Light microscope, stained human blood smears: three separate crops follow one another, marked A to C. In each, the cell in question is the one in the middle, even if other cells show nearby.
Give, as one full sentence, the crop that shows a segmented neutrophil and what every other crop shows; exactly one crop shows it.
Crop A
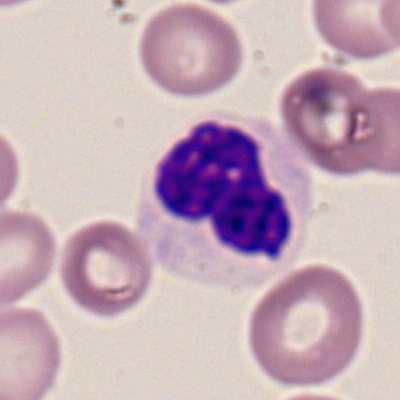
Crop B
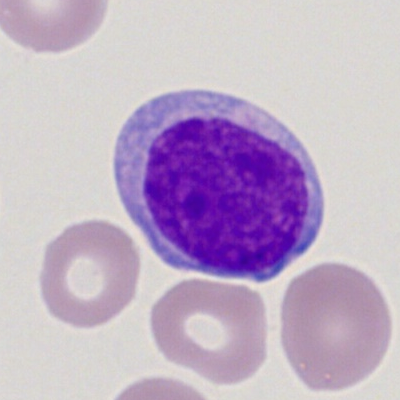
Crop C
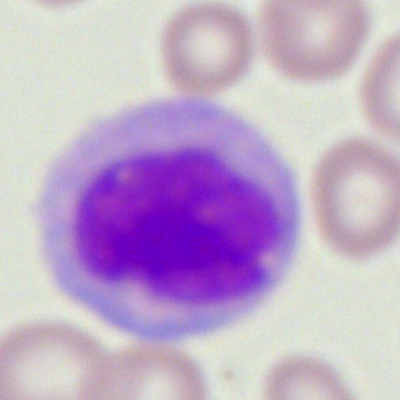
Crop A is read as a segmented neutrophil, while crop B is a myeloblast and crop C is a monocyte.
